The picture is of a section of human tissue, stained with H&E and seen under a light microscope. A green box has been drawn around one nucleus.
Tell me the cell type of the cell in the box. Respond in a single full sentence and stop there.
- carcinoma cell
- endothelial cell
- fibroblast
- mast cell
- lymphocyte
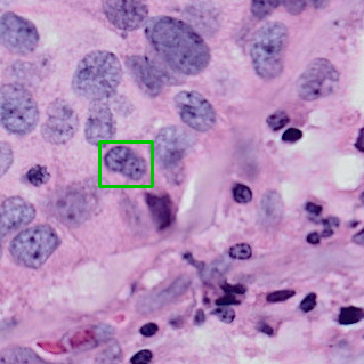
For cell typing purposes, the cell in the box is a carcinoma cell.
